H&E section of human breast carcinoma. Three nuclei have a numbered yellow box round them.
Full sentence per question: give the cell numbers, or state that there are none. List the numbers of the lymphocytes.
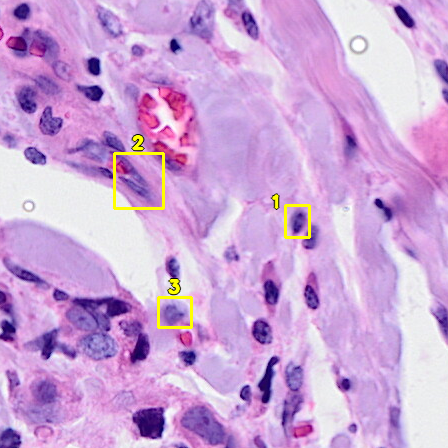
Only at number 1 is there a lymphocyte.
